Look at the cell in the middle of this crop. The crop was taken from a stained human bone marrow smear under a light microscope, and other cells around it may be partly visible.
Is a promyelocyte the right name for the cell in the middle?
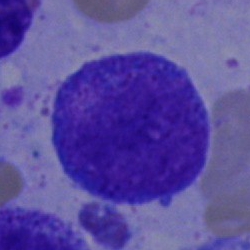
yes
